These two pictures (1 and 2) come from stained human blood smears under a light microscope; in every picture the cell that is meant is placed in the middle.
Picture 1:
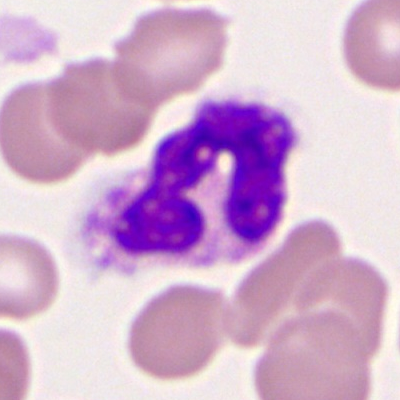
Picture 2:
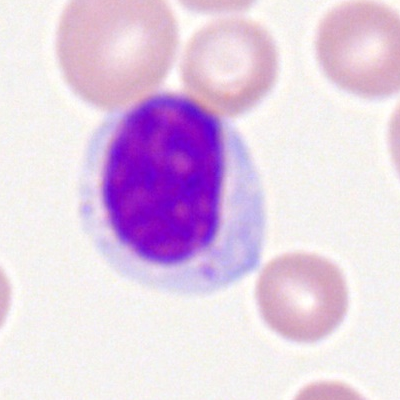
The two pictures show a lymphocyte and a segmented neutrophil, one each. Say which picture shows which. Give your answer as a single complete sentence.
In picture 1 the cell is a segmented neutrophil; in picture 2, a lymphocyte.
